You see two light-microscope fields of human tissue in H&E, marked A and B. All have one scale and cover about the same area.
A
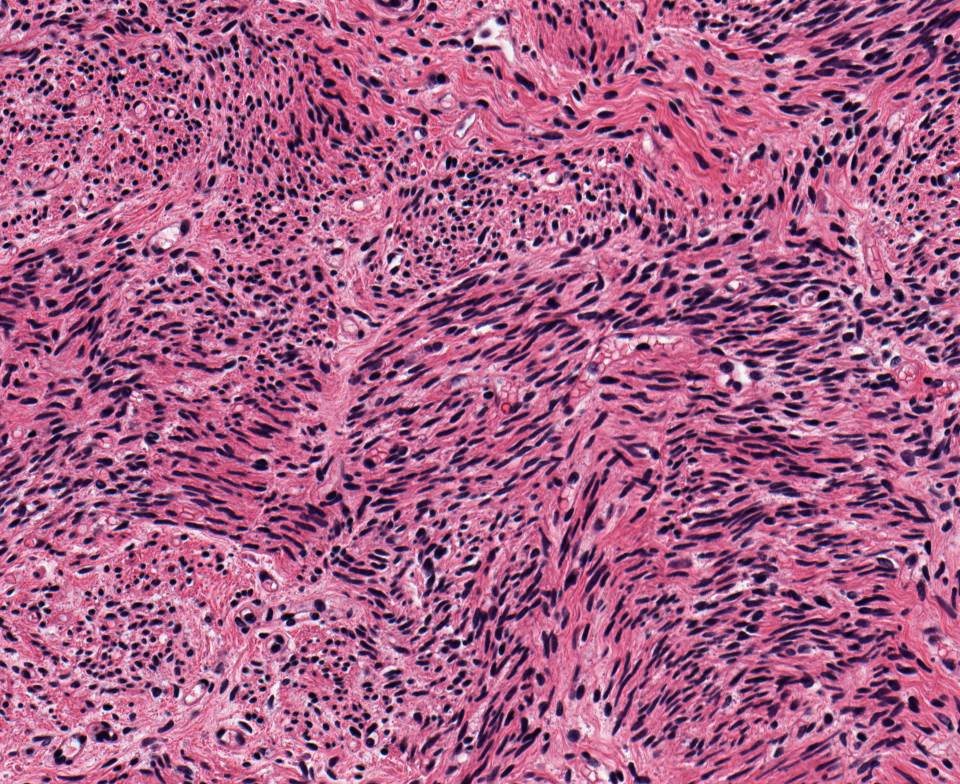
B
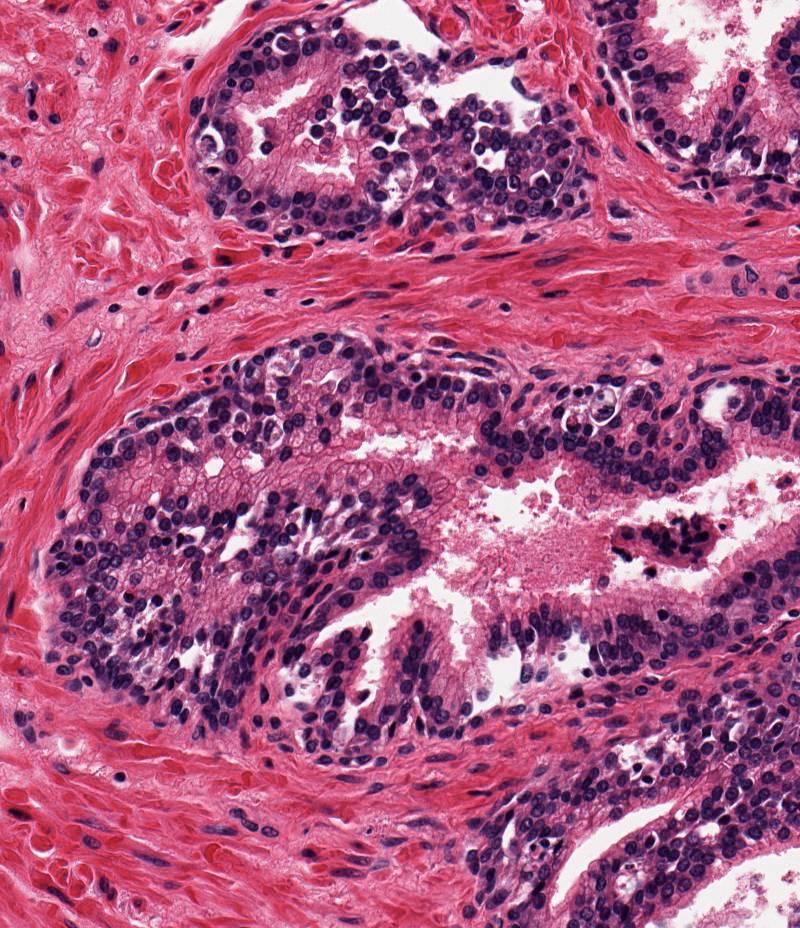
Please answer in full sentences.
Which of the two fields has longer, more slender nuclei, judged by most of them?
Longer, more slender nuclei lie in picture A.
